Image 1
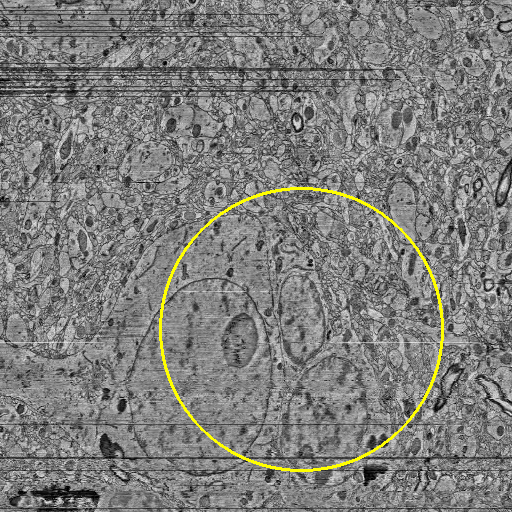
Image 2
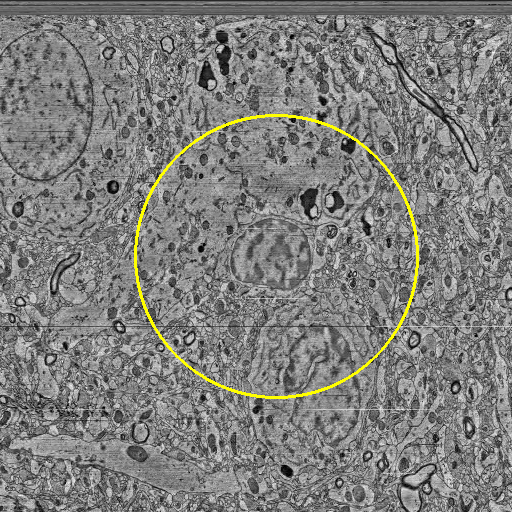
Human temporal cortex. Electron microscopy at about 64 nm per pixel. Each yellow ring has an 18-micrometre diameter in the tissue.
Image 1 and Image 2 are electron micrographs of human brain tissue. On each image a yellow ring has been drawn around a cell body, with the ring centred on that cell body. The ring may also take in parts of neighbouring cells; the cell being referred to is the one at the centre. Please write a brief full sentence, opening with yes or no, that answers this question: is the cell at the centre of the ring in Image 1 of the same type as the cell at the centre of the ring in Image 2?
Yes, both cells are of the same type.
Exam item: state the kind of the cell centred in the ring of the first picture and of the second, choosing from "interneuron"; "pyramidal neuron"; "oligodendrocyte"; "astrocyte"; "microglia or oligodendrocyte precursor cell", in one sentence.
Both the first and the second picture show a microglial cell or oligodendrocyte precursor cell in the ring.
